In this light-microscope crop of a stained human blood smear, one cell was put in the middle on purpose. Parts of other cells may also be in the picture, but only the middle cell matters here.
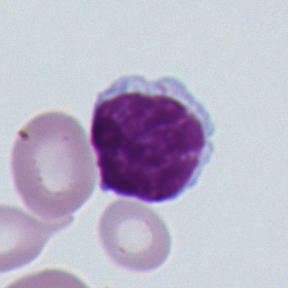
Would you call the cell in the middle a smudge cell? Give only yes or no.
no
